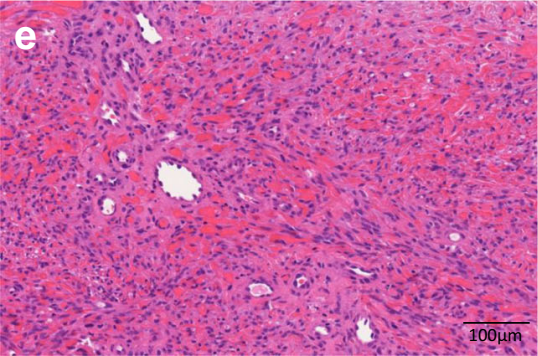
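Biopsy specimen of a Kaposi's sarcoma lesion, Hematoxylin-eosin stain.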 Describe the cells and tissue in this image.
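This is a densely cellular proliferation of spindle cells with abundant extravasated red blood cells between them. The spindle cells have slender, elongated, dark purple nuclei and pale pink, poorly delimited cytoplasm. They run in streaming, intersecting fascicles across the field. Bright red erythrocytes are scattered widely among the cells, outside of any vessel. A few small round empty lumina and one larger open vascular space near the middle are set within the cellular tissue.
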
